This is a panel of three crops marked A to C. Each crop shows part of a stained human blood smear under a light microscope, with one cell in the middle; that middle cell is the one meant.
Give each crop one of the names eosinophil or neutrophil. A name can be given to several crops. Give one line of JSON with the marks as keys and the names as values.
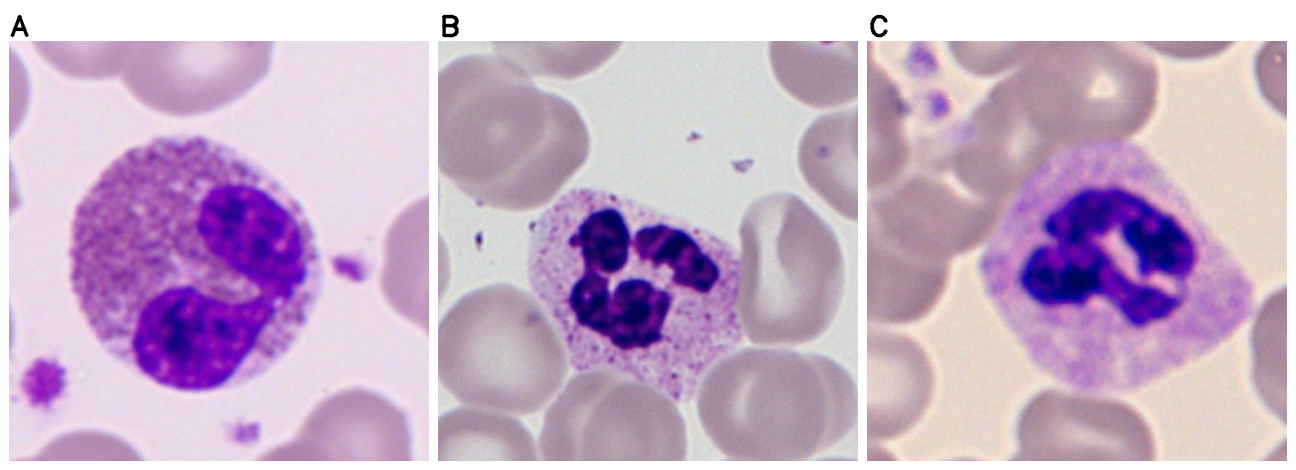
{"A": "eosinophil", "B": "neutrophil", "C": "neutrophil"}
